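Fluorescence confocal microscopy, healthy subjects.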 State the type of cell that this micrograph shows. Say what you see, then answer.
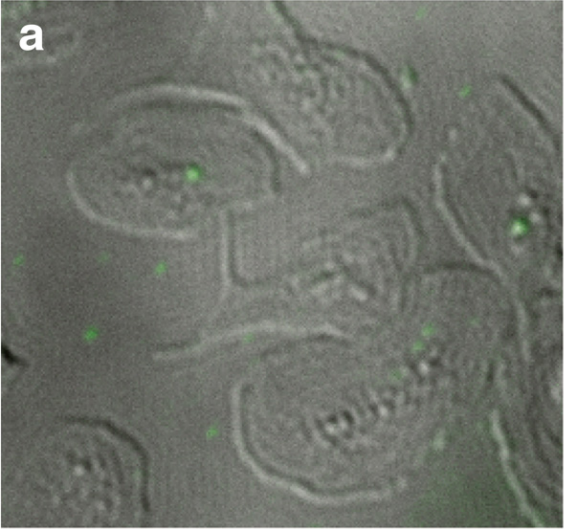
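Platelets. Small flattened cells spread on the surface with a thin outer rim. A granular central zone in each spread cell. No nuclei are visible in the cells.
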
